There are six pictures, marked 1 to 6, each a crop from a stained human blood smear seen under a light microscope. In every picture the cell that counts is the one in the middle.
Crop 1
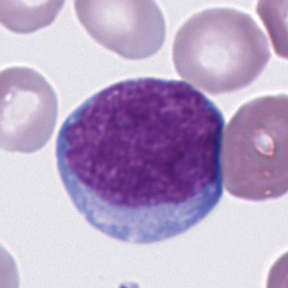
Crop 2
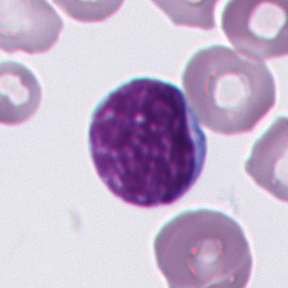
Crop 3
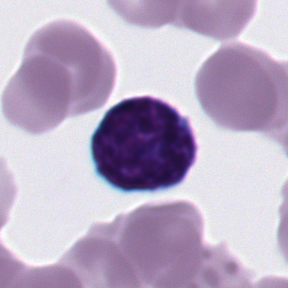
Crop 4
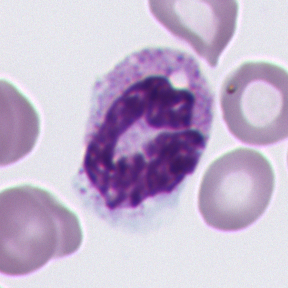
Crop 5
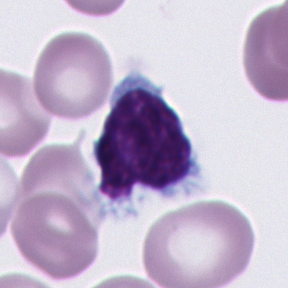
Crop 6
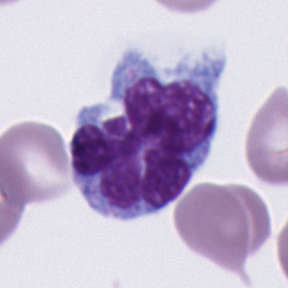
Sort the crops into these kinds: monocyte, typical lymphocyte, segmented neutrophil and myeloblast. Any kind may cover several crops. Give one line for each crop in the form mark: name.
1: myeloblast
2: typical lymphocyte
3: typical lymphocyte
4: segmented neutrophil
5: typical lymphocyte
6: monocyte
